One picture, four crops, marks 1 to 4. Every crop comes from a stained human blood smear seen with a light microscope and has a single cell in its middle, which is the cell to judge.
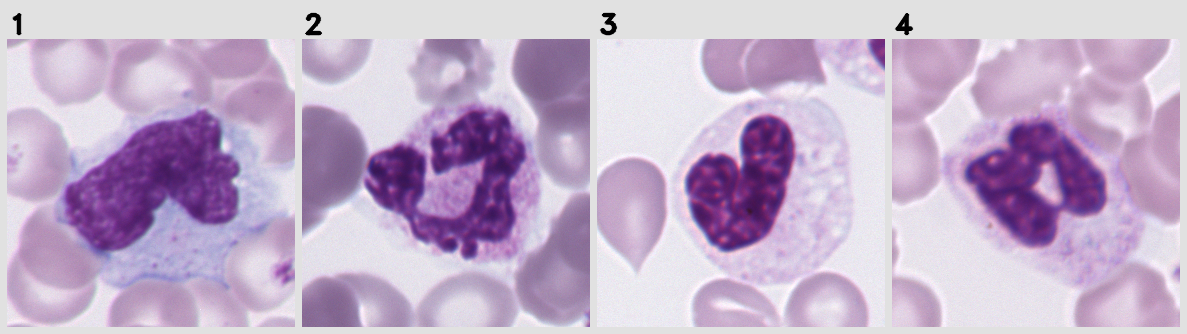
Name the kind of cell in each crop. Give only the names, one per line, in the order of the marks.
monocyte
neutrophil
neutrophil
neutrophil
